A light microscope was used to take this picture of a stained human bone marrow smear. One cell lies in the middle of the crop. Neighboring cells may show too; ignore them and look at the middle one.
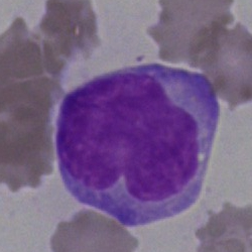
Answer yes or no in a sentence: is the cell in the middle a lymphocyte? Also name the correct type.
No, instead of a lymphocyte, the centred cell represents a blast.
